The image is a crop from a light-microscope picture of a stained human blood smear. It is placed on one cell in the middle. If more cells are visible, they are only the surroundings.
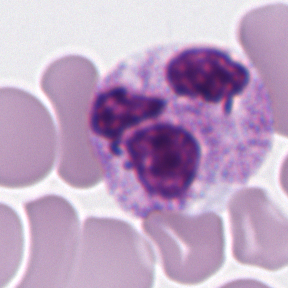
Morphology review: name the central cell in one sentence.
This particular crop is centered on a segmented neutrophil.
